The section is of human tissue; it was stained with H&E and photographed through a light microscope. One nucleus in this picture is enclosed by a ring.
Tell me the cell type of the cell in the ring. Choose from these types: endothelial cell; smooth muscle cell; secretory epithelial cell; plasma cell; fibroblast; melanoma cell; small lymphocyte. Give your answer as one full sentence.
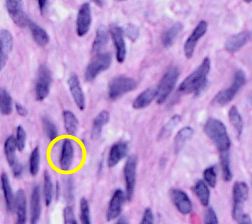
So far as cell type goes, the cell in the ring is a fibroblast.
